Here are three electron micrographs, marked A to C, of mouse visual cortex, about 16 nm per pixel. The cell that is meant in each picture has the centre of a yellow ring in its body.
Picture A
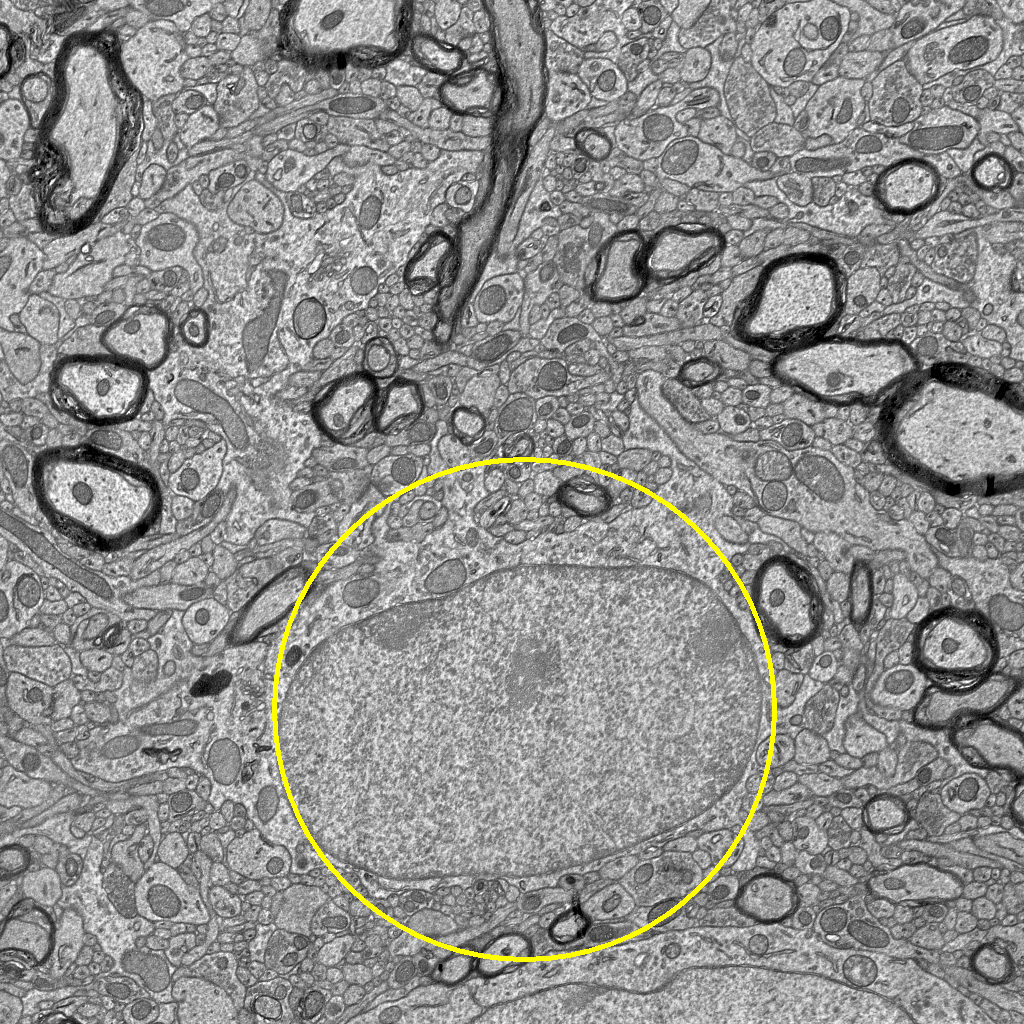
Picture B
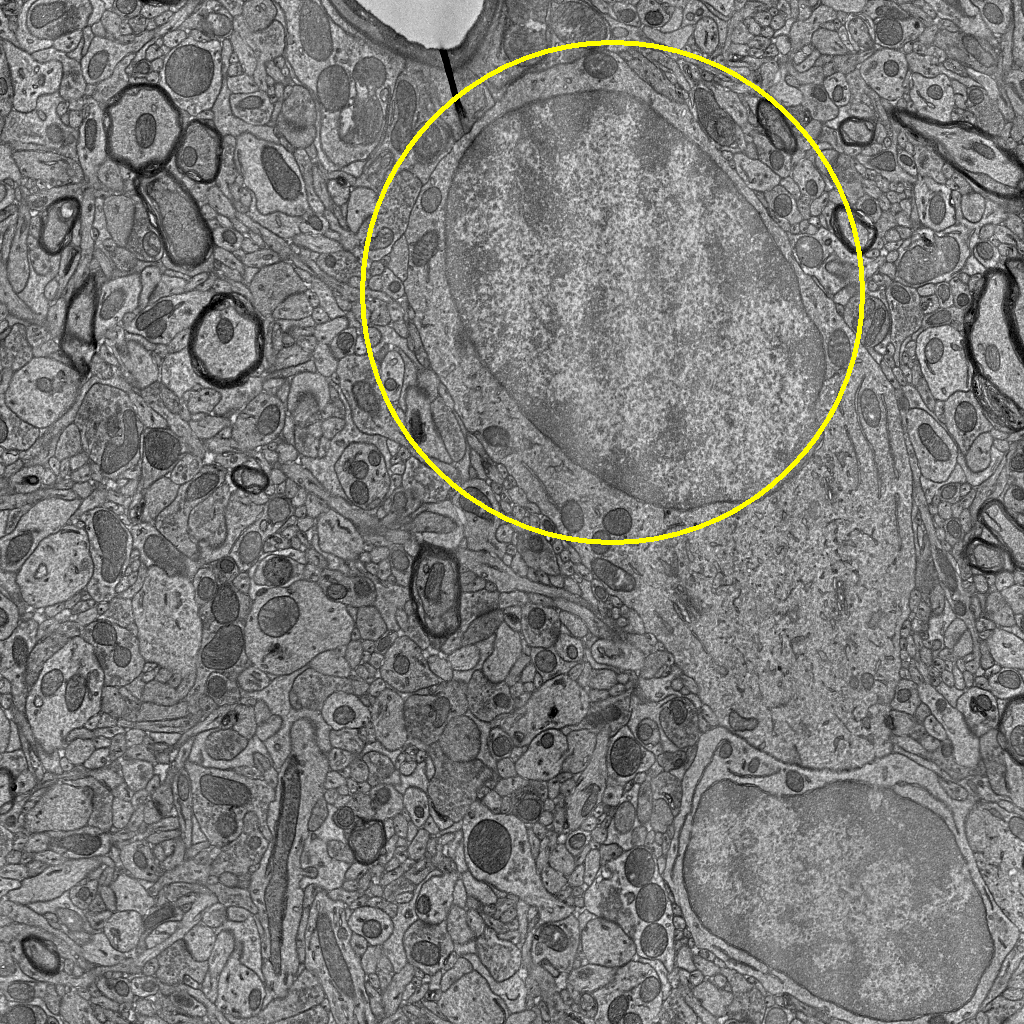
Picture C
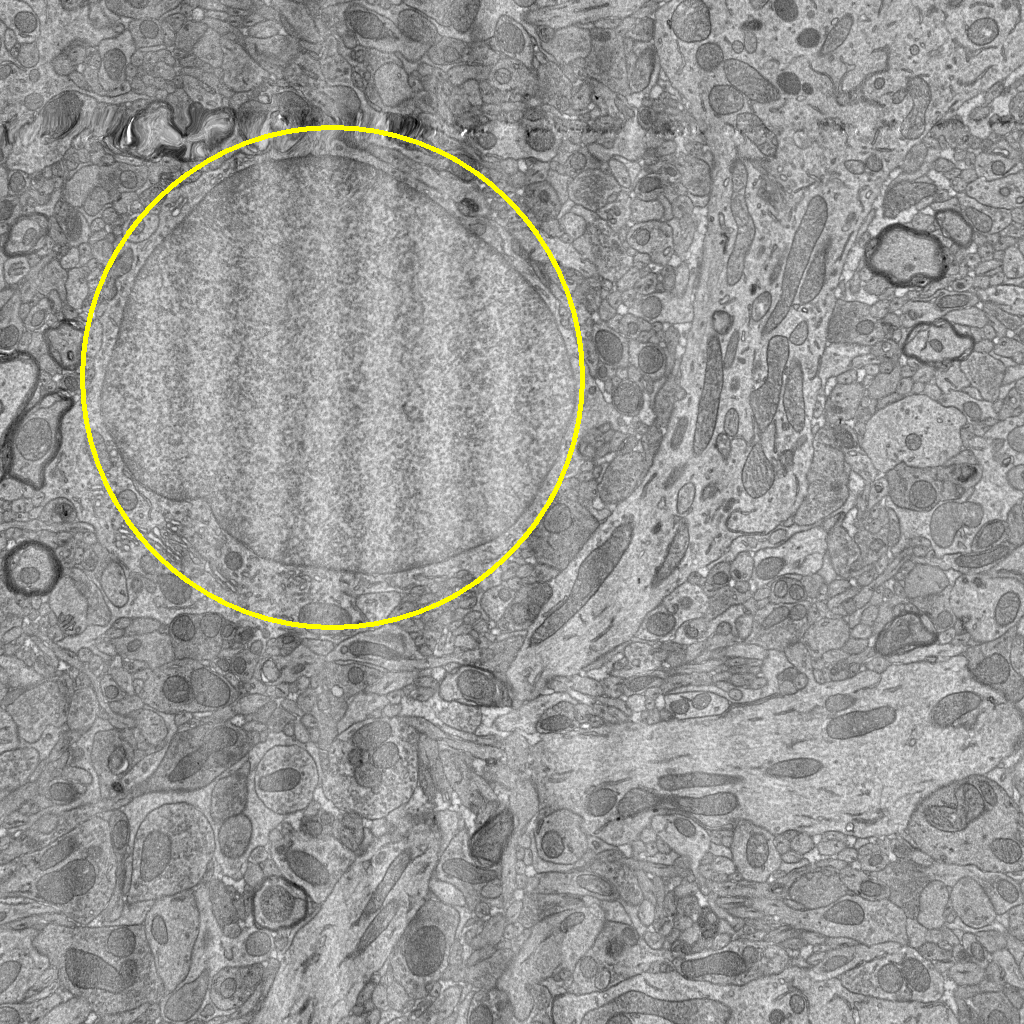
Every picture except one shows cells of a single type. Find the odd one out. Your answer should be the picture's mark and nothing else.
B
